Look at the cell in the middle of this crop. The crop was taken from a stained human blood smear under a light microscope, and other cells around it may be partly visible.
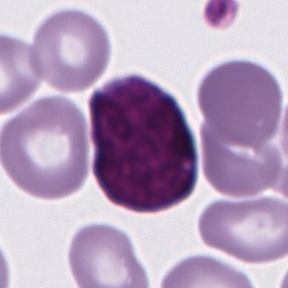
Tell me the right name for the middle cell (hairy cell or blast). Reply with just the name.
blast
